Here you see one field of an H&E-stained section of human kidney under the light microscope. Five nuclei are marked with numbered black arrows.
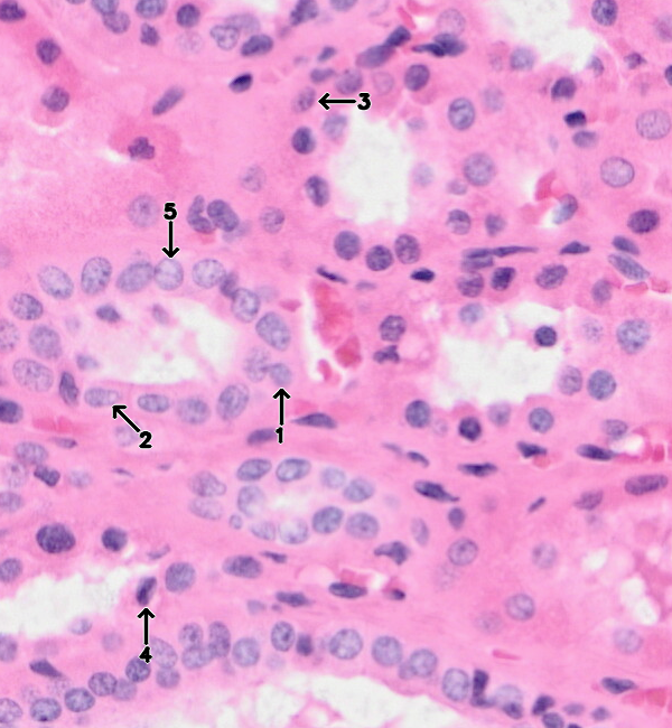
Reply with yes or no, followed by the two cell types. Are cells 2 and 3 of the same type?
No, cell 2 is a collecting duct cell; as for cell 3, that one is a loop of Henle or distal tubule cell.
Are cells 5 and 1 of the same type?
Yes, cells 5 and 1 are both counted as collecting duct cells.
